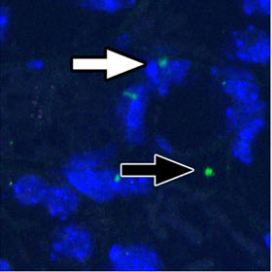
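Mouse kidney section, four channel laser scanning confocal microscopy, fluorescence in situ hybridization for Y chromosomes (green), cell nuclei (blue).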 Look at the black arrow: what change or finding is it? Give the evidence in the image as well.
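Artefactual. The black arrow points to a bright green dot. That green dot lies in a dark area with no blue nucleus around it.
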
